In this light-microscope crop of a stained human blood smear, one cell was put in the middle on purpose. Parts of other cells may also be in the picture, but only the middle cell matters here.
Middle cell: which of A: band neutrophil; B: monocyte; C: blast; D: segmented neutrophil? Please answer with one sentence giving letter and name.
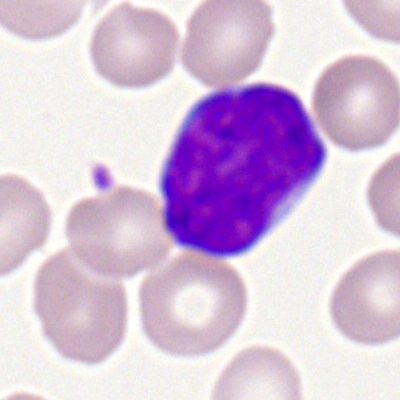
Answer key: option C, the middle cell being a blast.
